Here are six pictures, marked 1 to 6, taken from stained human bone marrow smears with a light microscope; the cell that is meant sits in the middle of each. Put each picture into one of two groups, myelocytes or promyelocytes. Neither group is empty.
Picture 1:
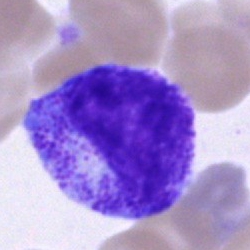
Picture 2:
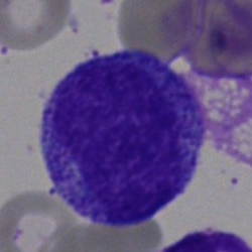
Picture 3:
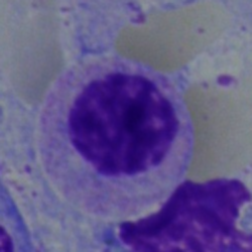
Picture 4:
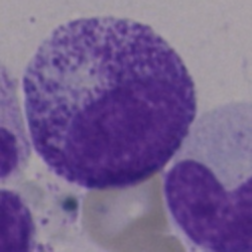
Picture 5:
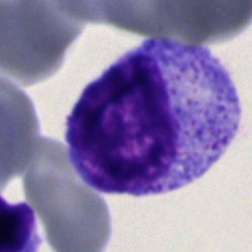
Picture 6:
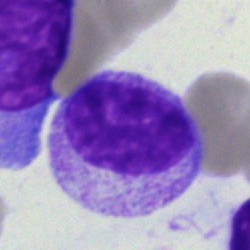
1: promyelocyte
2: promyelocyte
3: myelocyte
4: promyelocyte
5: promyelocyte
6: myelocyte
